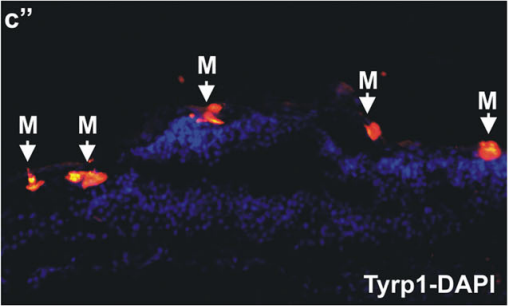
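The labelled cells appear as small, bright red-to-yellow compact bodies, spaced apart along the outer edge of the tissue. Some lie at the very surface and others sit just beneath it over the underlying tissue. The deeper tissue below consists of many densely packed blue nuclei, with no comparable bright label.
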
